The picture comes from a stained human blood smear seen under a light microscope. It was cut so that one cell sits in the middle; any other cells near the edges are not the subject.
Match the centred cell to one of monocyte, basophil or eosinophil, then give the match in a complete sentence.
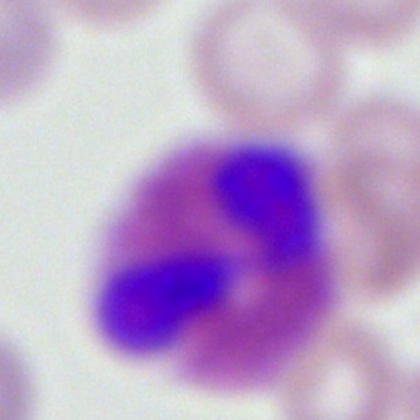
By type, the central cell of the crop is an eosinophil.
